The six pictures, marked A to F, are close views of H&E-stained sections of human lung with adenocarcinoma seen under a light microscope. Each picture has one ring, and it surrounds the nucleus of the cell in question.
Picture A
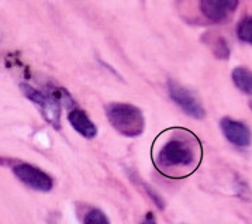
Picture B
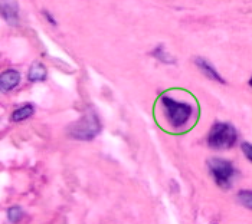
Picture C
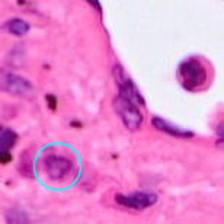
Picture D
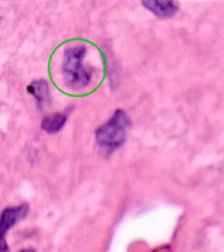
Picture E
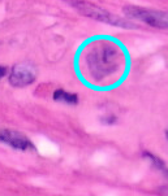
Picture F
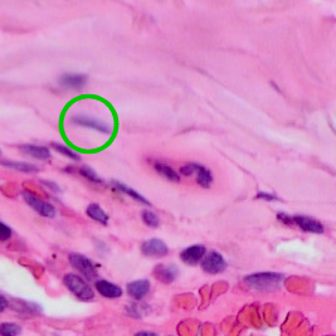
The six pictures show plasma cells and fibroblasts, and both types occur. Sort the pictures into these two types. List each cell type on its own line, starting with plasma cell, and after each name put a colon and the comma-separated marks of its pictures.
plasma cell: A, B, C
fibroblast: D, E, F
